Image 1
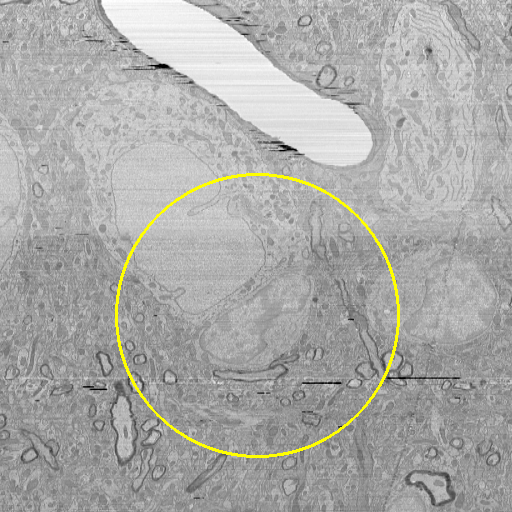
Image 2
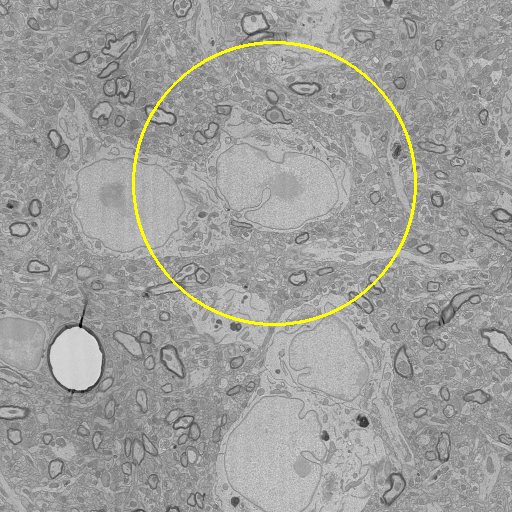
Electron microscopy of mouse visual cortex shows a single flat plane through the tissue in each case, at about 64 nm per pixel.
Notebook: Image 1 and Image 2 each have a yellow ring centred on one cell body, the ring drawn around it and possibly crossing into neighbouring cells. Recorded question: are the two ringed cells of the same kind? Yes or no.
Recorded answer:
no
